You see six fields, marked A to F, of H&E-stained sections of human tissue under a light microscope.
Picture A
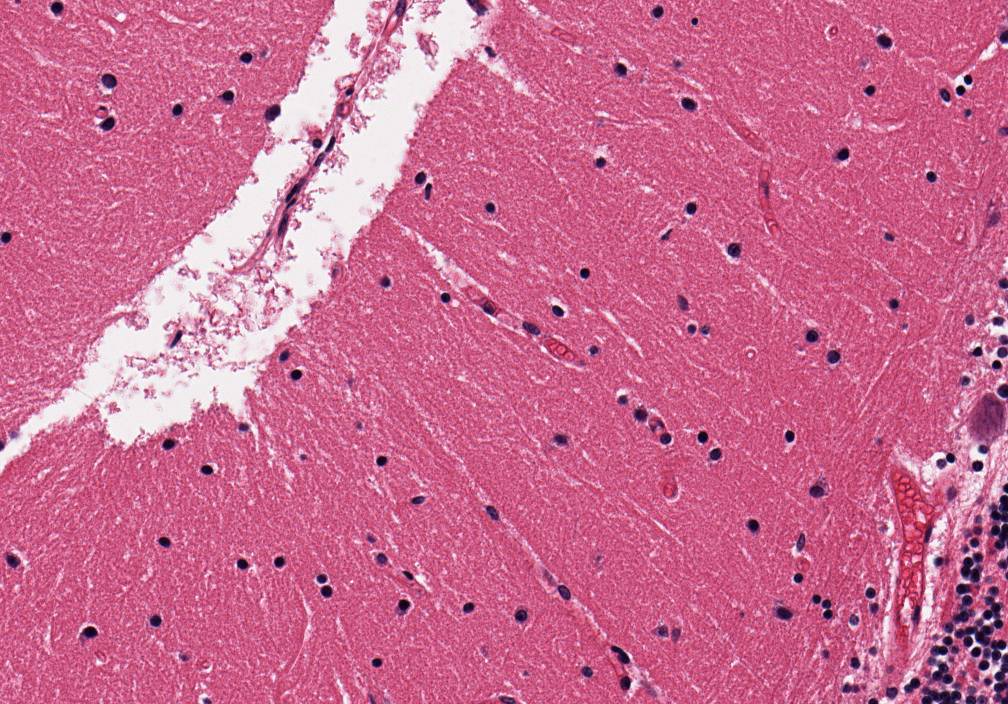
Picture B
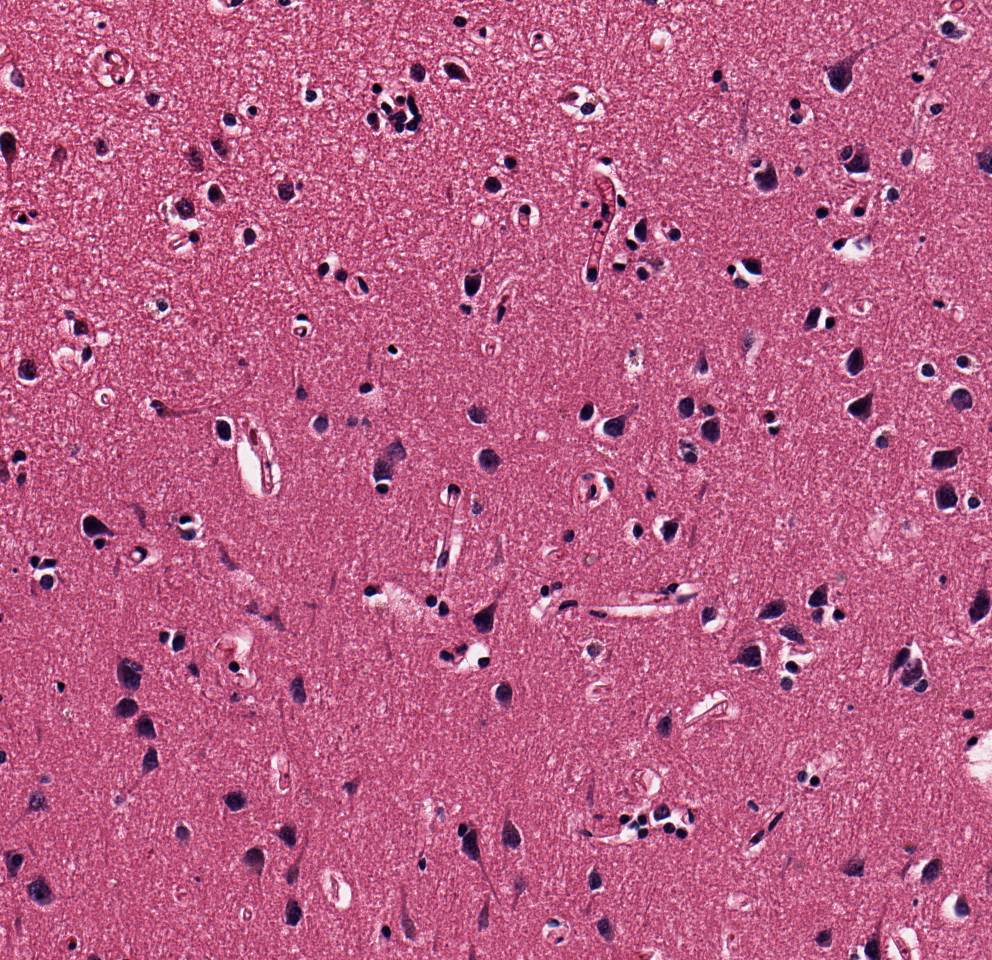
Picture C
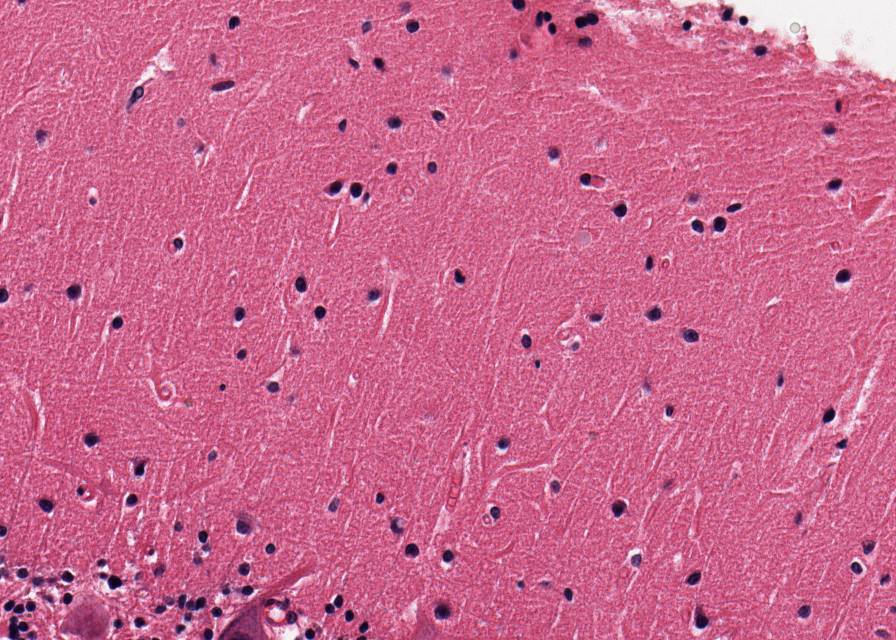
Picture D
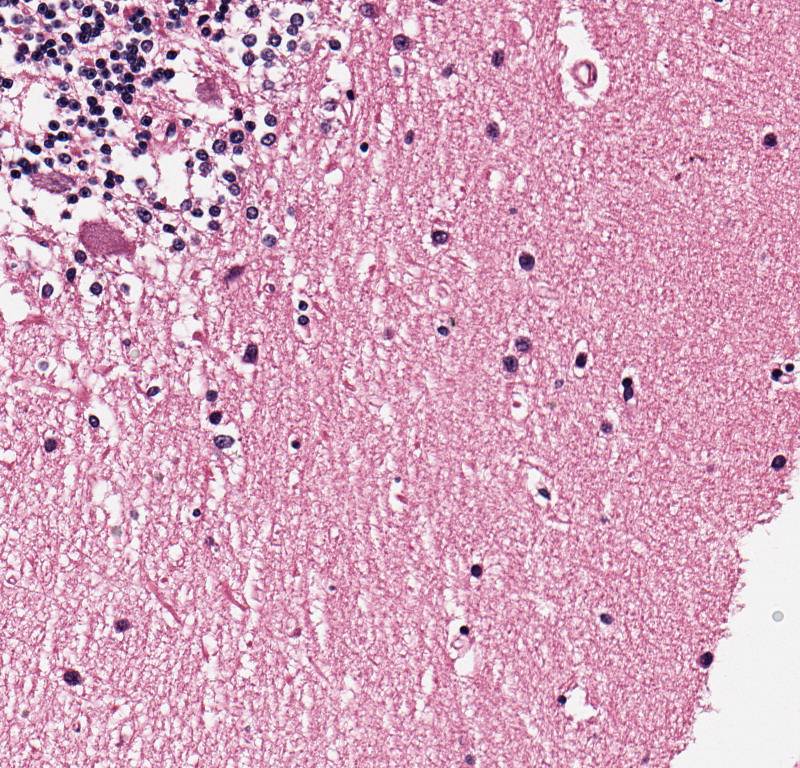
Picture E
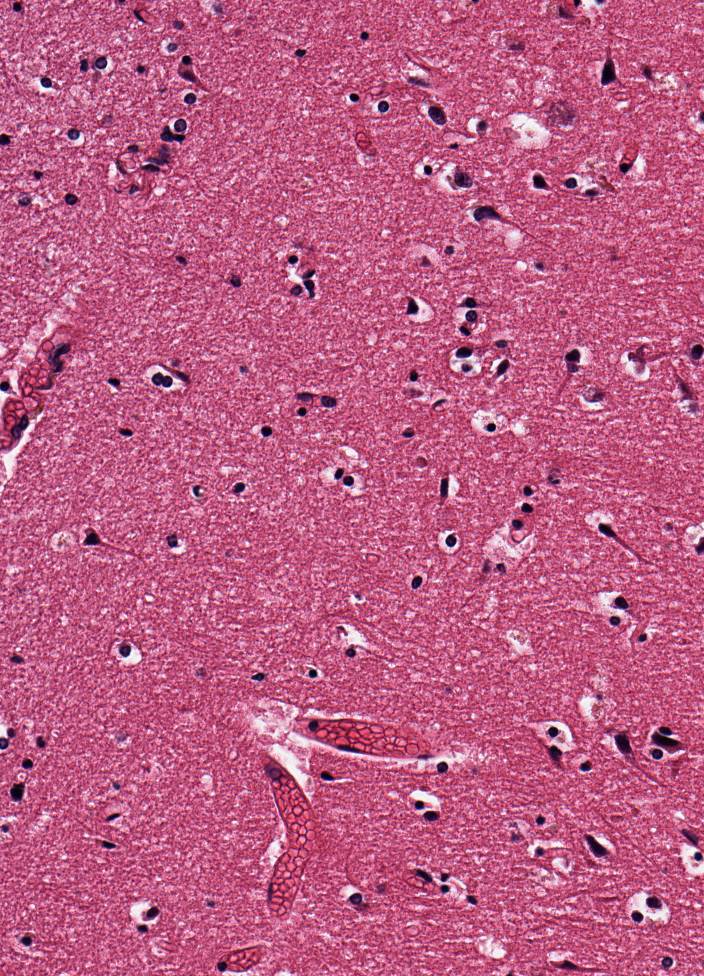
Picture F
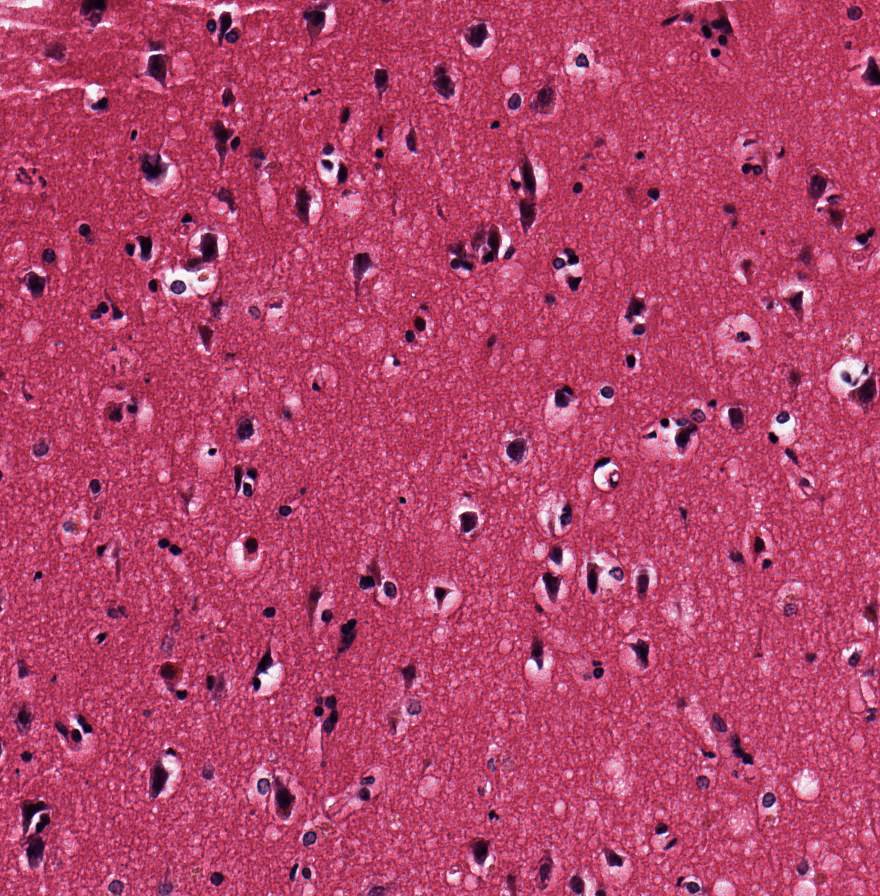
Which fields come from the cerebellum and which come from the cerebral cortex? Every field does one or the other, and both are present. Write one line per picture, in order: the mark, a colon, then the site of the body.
A: cerebellum
B: cerebral cortex
C: cerebellum
D: cerebellum
E: cerebral cortex
F: cerebral cortex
